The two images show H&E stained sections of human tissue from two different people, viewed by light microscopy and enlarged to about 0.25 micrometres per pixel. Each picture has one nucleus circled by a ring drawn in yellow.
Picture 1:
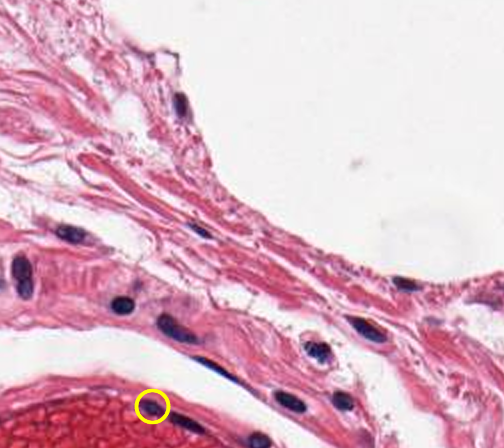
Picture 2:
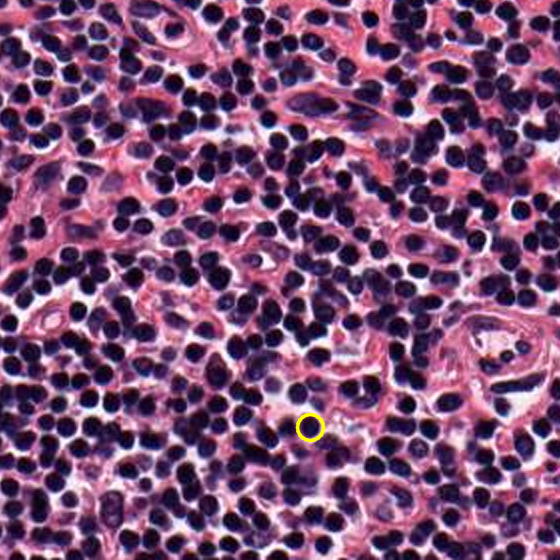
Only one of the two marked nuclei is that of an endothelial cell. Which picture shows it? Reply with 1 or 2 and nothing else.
1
